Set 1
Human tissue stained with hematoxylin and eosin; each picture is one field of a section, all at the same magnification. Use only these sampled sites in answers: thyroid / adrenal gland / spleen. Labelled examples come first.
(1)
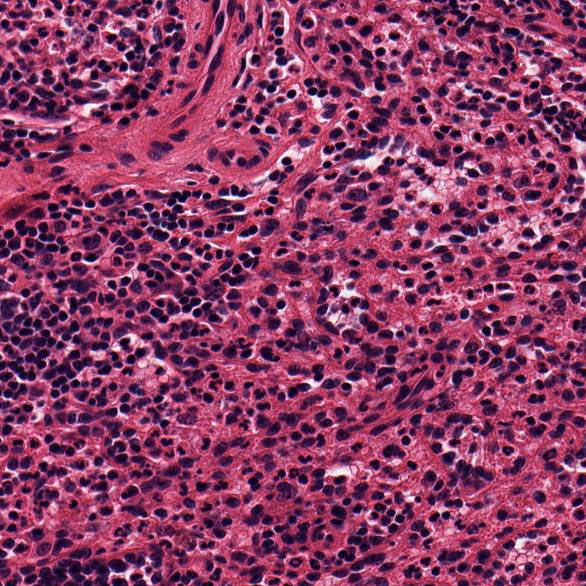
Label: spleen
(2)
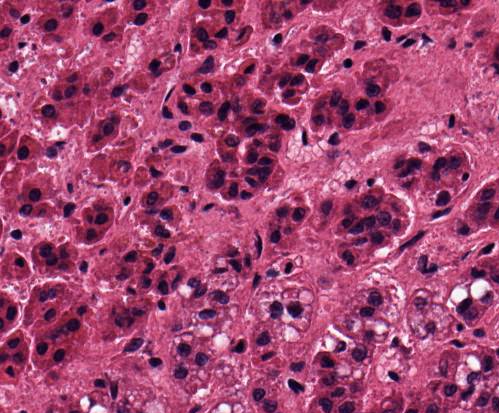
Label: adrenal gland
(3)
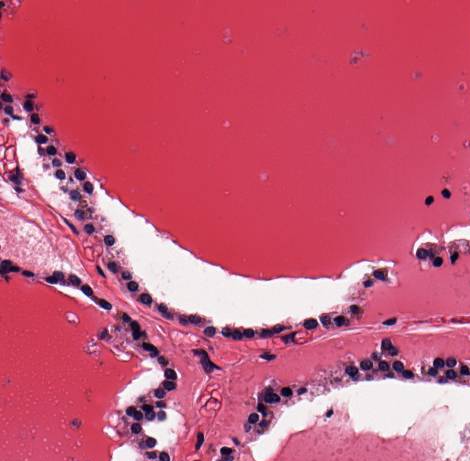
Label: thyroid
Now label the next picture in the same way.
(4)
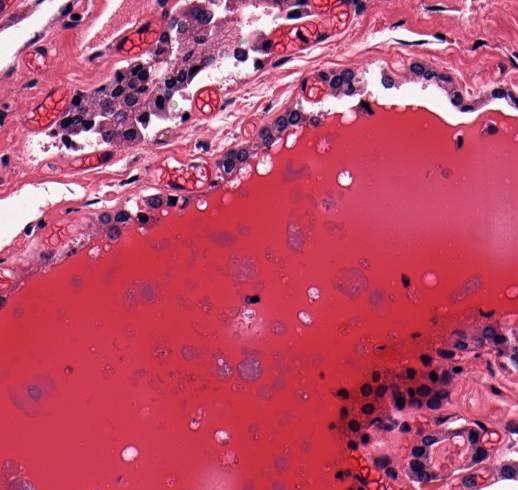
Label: thyroid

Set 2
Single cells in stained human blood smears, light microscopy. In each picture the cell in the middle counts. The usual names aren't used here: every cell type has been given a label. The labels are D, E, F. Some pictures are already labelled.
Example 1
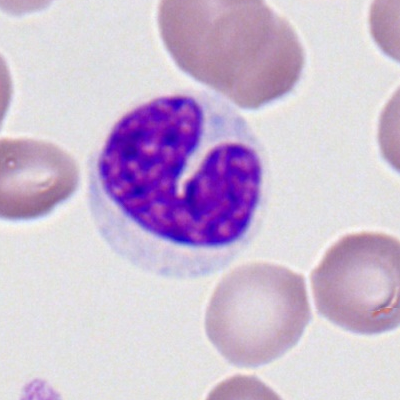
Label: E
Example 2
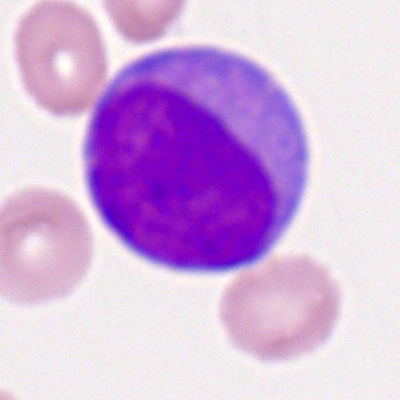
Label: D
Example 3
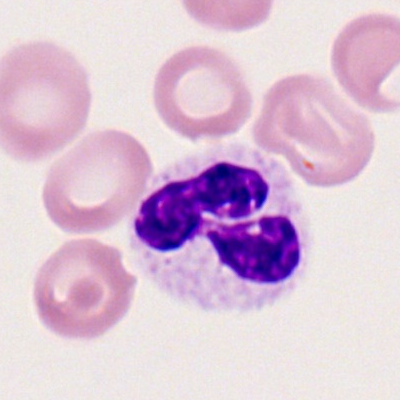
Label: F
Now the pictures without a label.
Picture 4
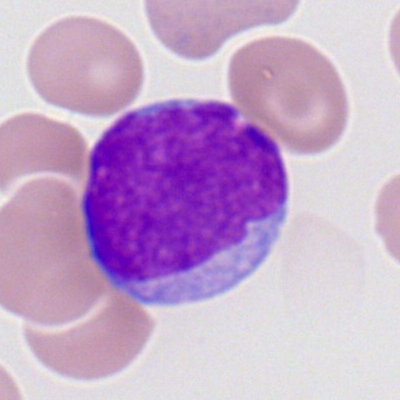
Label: D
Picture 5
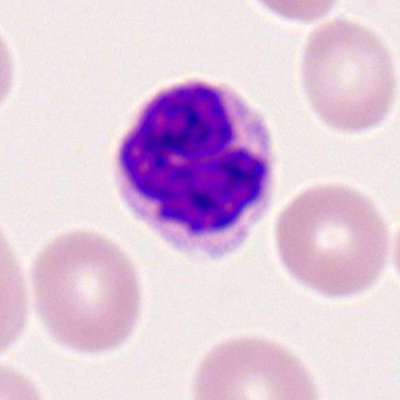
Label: F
